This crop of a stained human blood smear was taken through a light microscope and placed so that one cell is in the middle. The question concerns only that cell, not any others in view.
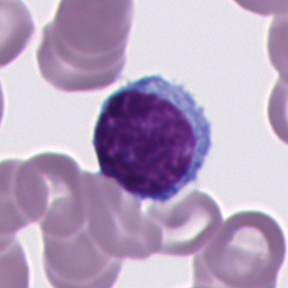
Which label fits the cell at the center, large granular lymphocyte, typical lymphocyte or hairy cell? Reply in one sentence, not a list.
This crop has a typical lymphocyte at its centre.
